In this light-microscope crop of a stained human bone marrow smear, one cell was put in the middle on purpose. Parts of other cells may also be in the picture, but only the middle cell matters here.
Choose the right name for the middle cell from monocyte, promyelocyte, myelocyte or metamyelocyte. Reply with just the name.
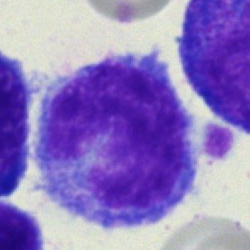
monocyte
